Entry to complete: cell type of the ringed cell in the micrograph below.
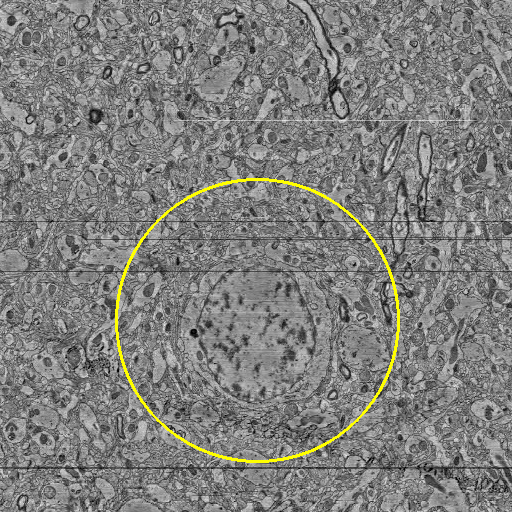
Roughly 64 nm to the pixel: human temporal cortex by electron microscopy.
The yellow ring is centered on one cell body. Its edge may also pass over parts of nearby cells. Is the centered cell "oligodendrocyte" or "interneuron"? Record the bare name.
interneuron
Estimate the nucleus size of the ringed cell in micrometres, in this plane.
Roughly 9 micrometres by 8 micrometres, in this plane.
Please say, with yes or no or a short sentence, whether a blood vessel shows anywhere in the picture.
No.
